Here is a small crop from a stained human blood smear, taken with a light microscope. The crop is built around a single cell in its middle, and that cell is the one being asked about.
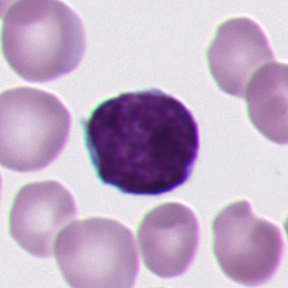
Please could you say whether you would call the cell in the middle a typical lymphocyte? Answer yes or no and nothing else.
yes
